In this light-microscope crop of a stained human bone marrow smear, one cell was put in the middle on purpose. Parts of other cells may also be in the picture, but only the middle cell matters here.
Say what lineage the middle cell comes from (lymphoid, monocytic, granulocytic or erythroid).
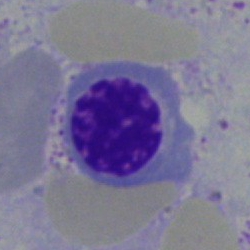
erythroid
